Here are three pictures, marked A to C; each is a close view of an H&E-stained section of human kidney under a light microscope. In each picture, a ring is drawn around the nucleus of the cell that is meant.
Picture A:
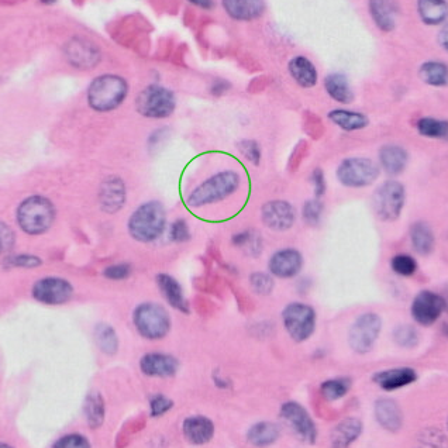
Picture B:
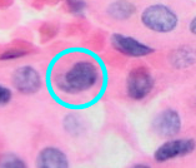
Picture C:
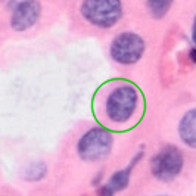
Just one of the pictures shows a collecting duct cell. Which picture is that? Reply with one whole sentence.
Picture A is the one that shows the collecting duct cell.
